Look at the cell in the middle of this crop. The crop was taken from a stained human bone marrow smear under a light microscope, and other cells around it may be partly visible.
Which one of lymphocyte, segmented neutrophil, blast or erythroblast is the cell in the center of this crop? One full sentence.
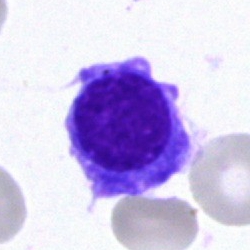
Framed in the middle of the crop is a lymphocyte.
